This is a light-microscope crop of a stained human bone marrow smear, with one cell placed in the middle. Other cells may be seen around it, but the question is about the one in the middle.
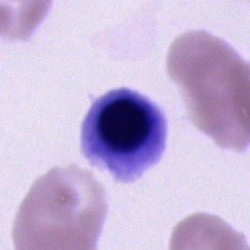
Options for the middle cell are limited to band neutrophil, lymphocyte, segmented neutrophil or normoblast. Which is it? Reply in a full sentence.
The middle of this crop holds a normoblast.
